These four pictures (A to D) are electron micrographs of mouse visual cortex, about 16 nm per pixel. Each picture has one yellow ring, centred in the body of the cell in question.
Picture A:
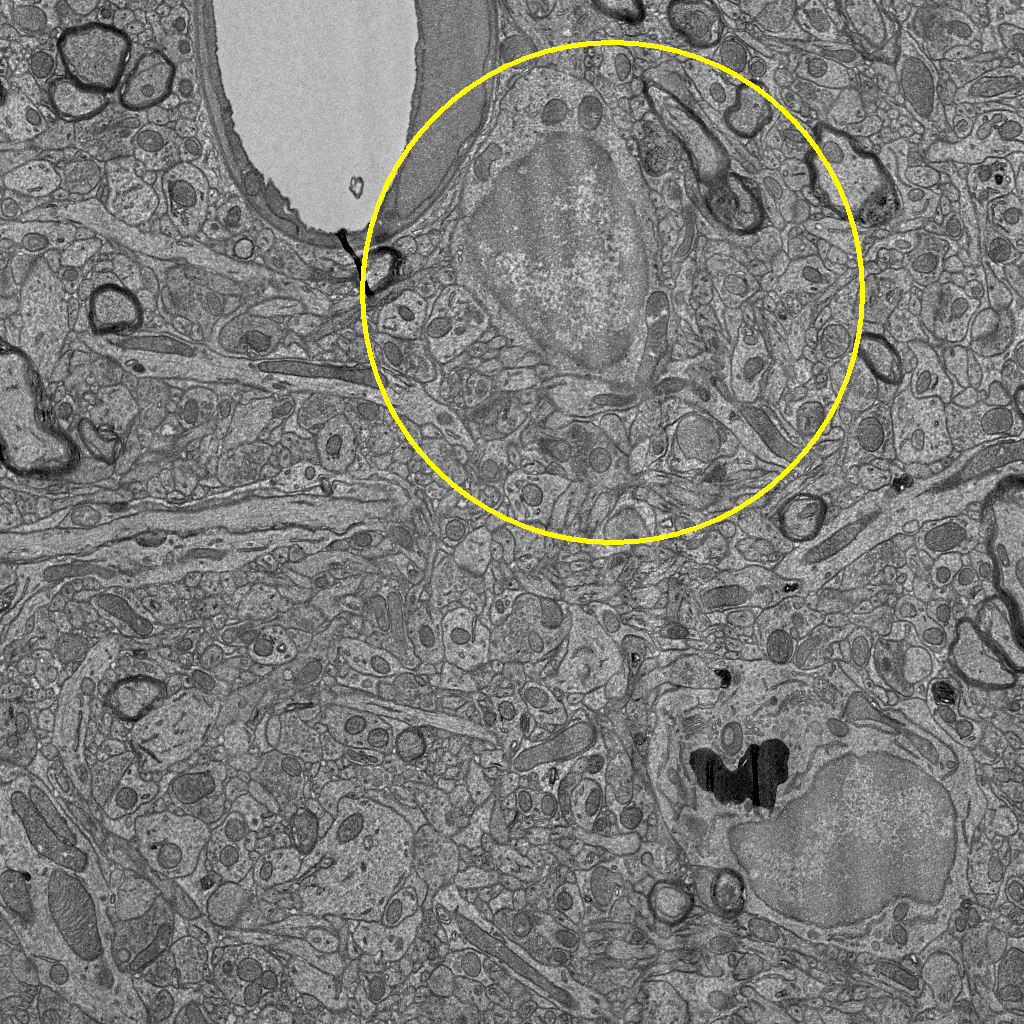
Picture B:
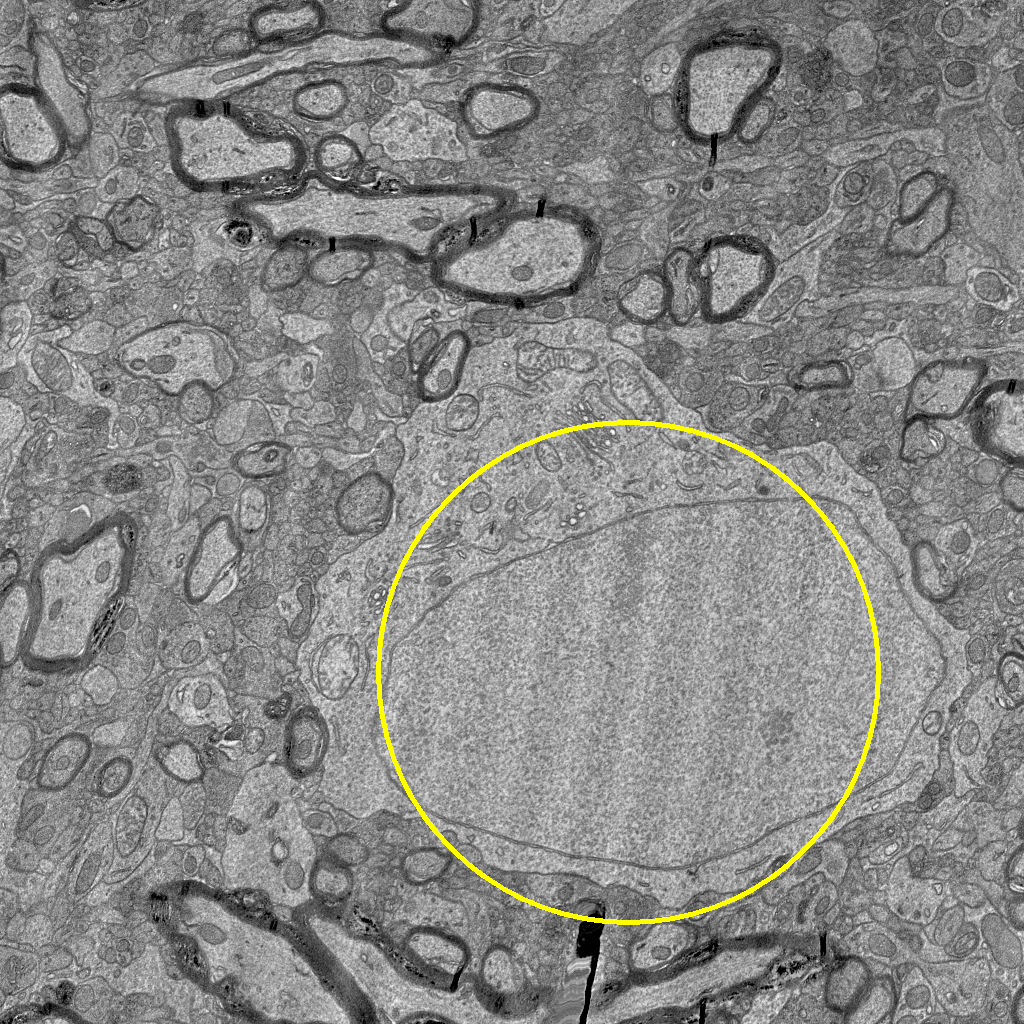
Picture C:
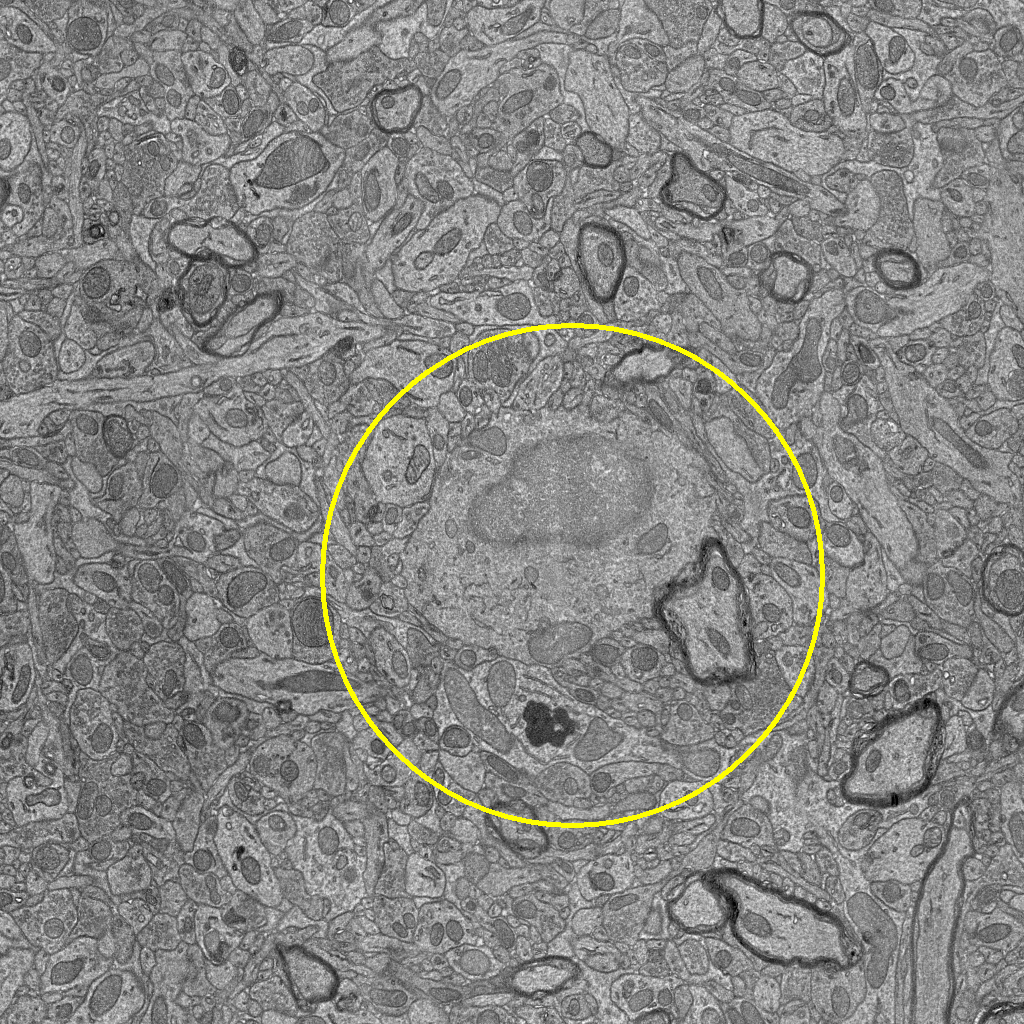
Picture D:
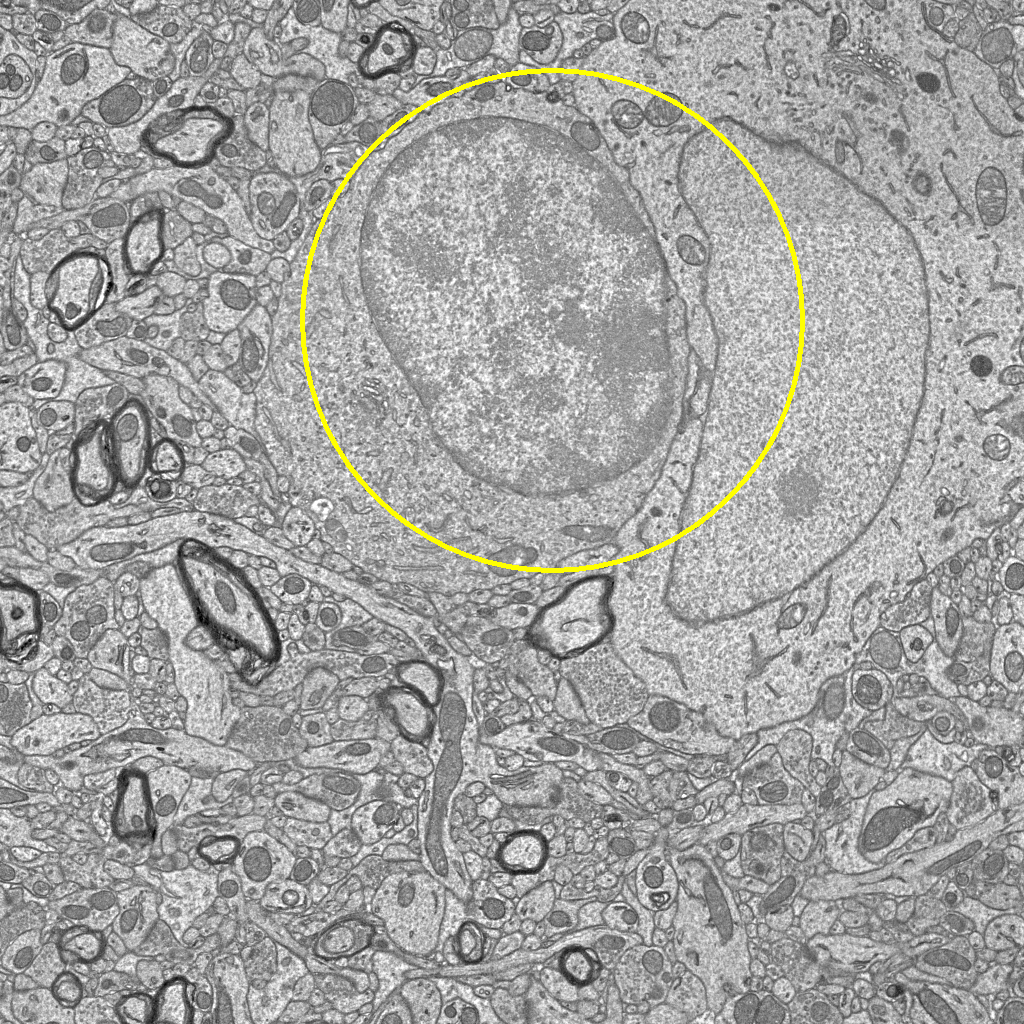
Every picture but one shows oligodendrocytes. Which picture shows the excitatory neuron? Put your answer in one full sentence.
The picture with the excitatory neuron is B.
